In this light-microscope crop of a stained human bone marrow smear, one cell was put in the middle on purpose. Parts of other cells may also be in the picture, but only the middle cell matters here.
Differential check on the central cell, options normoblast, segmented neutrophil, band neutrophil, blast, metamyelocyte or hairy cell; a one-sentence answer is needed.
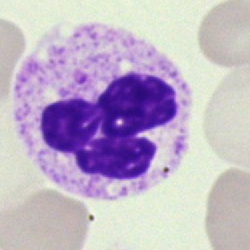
The crop shows a segmented neutrophil in its centre.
